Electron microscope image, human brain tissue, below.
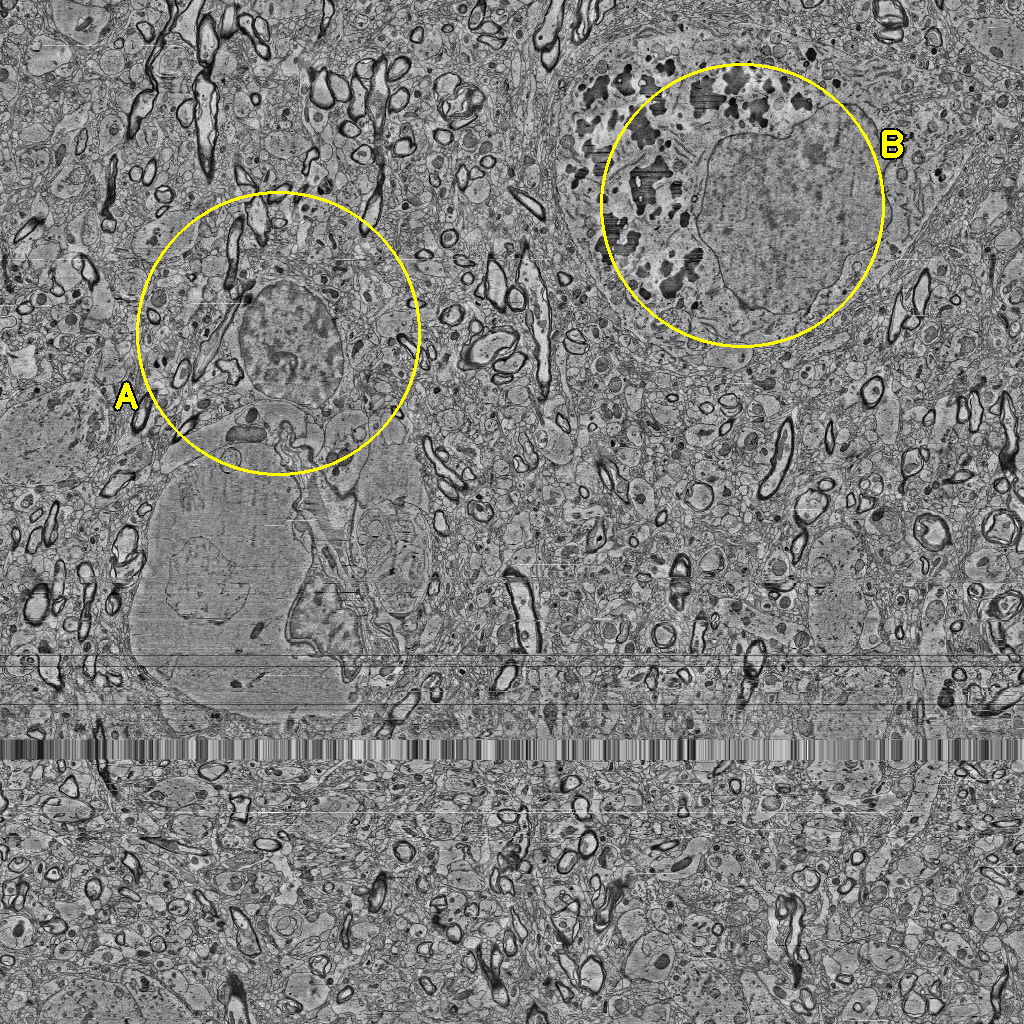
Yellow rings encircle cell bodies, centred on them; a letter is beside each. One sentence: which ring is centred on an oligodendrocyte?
It is ring A.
